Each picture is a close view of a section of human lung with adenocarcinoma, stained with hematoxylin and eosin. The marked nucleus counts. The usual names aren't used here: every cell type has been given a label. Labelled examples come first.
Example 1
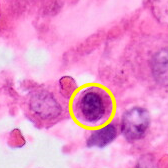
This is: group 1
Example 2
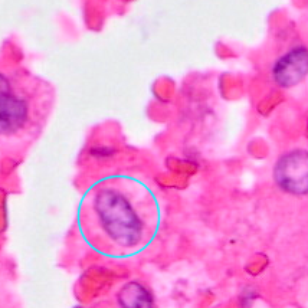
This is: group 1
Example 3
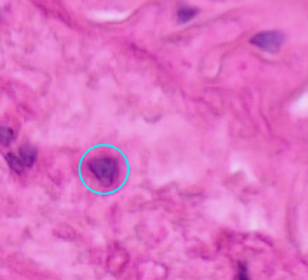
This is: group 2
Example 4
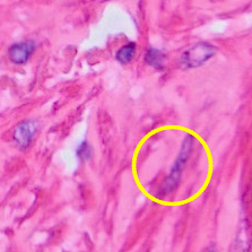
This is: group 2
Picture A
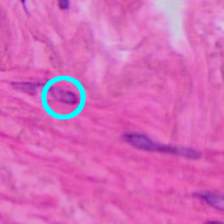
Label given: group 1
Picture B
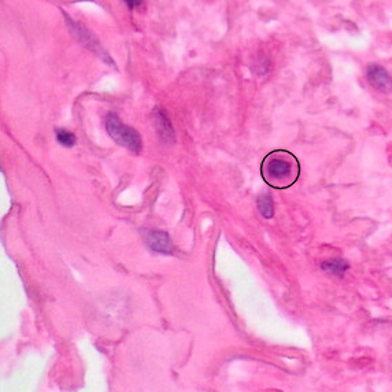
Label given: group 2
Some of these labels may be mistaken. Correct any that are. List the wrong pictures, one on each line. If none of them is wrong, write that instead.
A: group 2, not group 1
